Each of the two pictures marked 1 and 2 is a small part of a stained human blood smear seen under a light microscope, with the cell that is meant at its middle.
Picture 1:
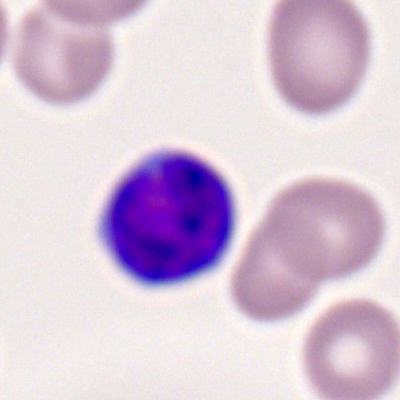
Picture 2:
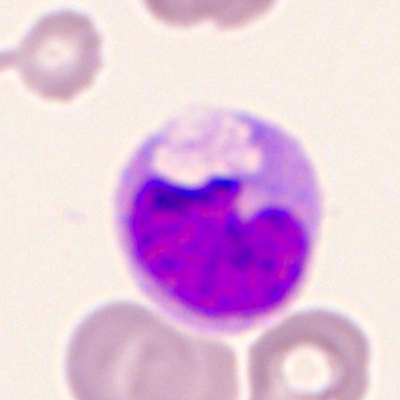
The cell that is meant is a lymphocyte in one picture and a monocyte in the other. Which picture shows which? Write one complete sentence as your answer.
Picture 1 is of a lymphocyte, and picture 2 is of a monocyte.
